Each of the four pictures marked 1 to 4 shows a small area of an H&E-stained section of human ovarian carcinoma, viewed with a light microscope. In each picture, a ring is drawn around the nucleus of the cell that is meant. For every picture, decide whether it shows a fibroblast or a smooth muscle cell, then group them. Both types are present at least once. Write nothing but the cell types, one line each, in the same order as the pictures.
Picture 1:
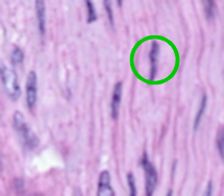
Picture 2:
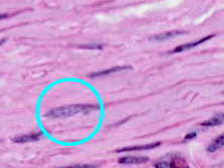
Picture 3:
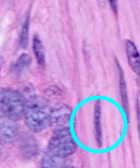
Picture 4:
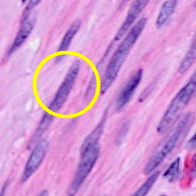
fibroblast
fibroblast
fibroblast
smooth muscle cell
